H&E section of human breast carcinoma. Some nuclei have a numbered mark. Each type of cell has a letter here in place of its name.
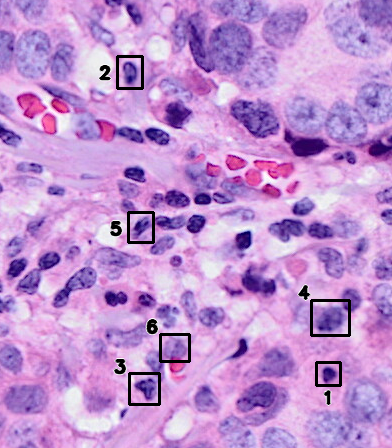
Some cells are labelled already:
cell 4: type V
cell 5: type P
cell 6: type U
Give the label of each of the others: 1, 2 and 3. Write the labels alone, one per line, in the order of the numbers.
type P
type P
type P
